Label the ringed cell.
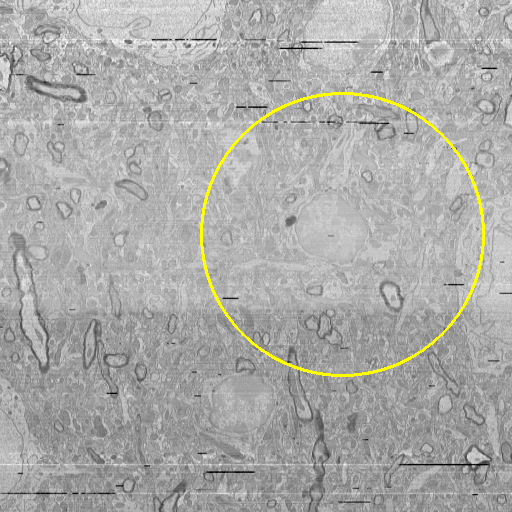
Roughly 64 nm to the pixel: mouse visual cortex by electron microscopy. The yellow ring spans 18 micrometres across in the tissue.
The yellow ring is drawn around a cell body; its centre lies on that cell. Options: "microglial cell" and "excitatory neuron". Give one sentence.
The ringed cell is a microglial cell.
